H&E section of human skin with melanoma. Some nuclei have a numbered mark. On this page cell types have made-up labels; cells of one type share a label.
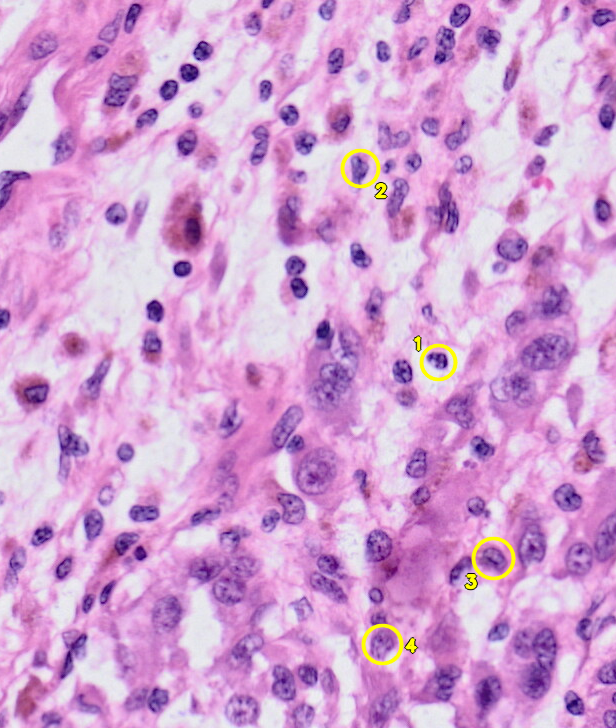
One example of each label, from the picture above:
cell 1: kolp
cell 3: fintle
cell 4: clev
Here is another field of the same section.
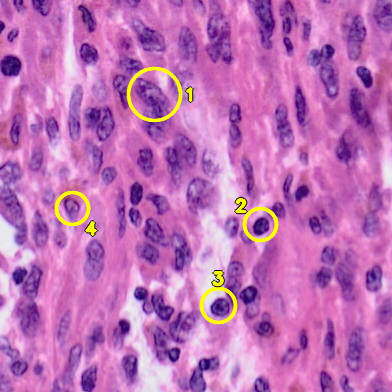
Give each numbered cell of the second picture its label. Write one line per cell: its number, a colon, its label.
1: clev
2: kolp
3: kolp
4: fintle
